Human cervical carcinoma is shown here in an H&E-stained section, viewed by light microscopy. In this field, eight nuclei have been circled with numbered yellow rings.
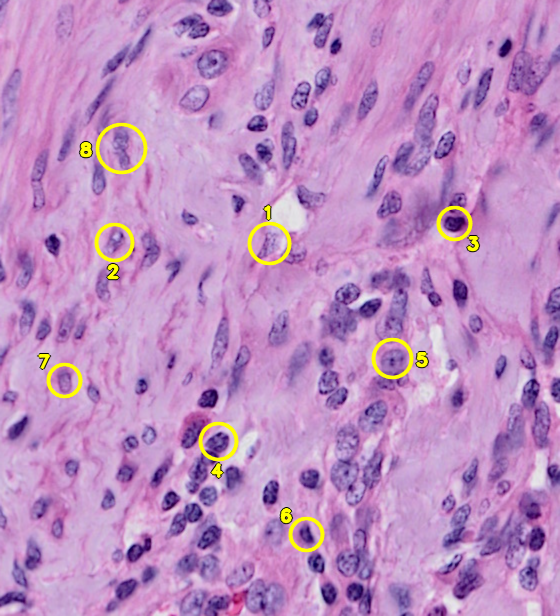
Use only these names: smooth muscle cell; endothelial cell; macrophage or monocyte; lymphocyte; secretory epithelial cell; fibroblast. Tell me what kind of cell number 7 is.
smooth muscle cell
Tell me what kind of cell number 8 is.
smooth muscle cell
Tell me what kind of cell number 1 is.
endothelial cell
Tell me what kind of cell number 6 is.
lymphocyte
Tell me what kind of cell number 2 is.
smooth muscle cell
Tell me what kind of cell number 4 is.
lymphocyte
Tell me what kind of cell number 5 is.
endothelial cell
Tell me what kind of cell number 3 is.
lymphocyte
